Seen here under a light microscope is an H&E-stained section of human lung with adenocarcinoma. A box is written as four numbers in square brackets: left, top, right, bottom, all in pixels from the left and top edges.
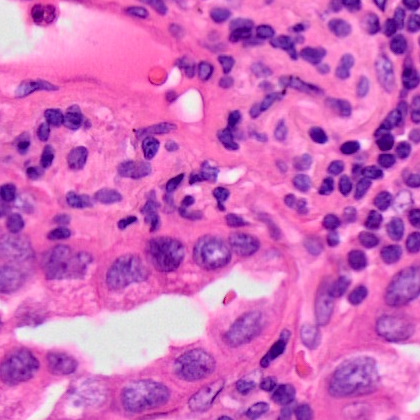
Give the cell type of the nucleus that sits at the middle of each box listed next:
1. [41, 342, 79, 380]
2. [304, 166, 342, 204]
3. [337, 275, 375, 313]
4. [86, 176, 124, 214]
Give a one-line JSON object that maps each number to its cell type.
{"1": "carcinoma cell", "2": "lymphocyte", "3": "lymphocyte", "4": "lymphocyte"}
